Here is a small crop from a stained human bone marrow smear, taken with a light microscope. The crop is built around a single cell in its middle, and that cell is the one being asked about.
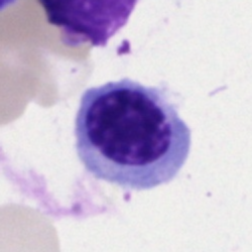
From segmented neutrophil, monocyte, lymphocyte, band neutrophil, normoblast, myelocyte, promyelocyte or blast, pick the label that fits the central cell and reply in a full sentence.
What the crop centres on is a normoblast.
